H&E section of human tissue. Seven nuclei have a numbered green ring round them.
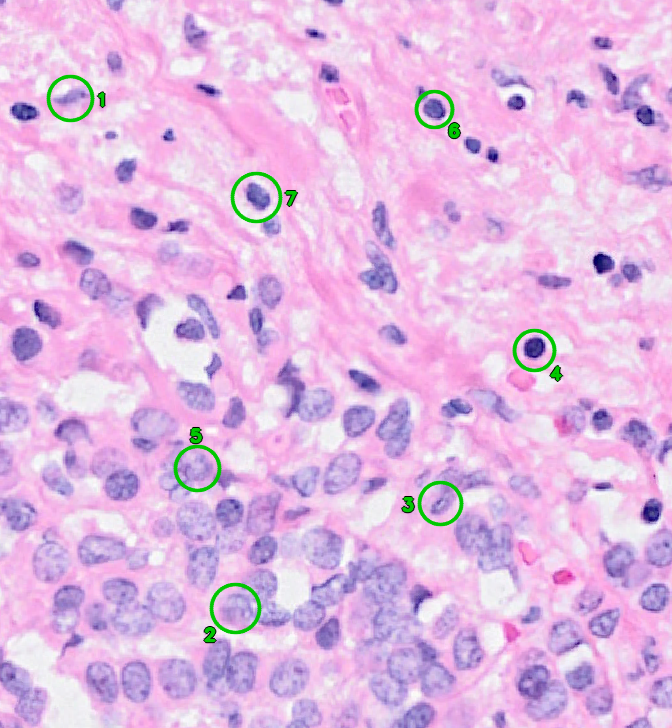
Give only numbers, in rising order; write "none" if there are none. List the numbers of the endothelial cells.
3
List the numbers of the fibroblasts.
1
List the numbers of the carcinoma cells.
2, 5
